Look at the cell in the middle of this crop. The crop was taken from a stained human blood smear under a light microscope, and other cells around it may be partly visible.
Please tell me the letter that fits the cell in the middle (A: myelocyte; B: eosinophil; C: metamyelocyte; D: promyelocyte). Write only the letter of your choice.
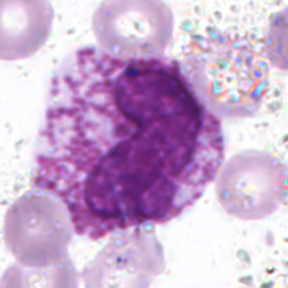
B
